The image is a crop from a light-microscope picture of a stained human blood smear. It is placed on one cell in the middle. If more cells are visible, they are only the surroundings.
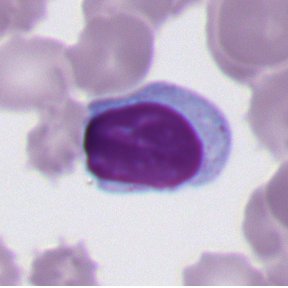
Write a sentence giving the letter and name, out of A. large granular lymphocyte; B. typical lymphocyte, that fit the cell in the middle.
Option B is correct, naming the cell in the middle as a typical lymphocyte.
